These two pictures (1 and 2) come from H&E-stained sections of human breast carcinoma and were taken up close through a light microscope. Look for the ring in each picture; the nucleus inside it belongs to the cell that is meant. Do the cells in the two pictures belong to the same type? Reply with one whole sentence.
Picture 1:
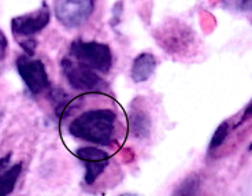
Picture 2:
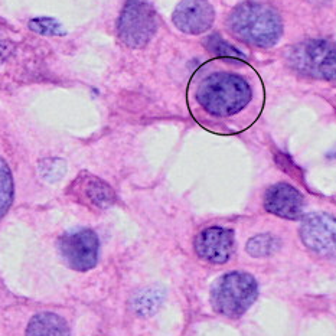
Yes, the two pictures both show carcinoma cells.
